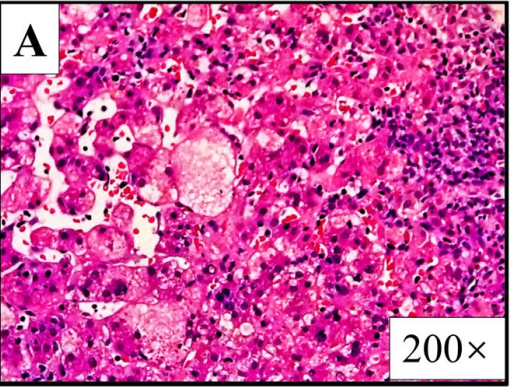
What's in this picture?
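Liver tissue with disordered plates of hepatocytes, several of which are enlarged with pale foamy cytoplasm and some bearing more than one nucleus. Toward one side the tissue is crowded with small dark-nucleated cells, and dilated spaces containing red blood cells run between the liver cells.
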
